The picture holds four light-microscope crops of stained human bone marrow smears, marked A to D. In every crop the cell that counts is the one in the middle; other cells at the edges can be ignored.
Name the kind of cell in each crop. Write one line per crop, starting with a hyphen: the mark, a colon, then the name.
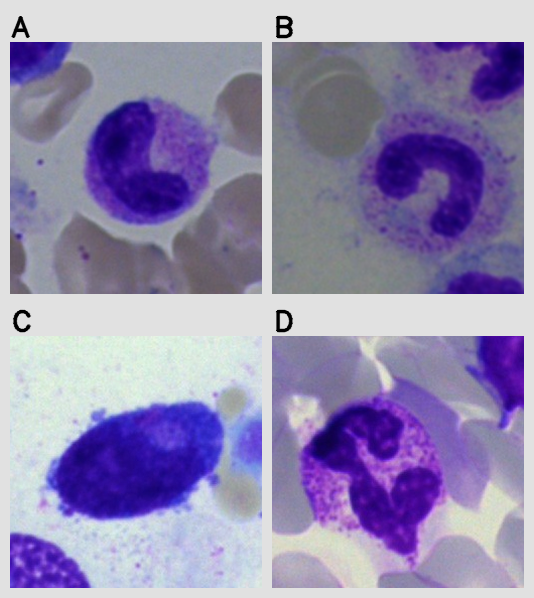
- A: band neutrophil
- B: segmented neutrophil
- C: promyelocyte
- D: segmented neutrophil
